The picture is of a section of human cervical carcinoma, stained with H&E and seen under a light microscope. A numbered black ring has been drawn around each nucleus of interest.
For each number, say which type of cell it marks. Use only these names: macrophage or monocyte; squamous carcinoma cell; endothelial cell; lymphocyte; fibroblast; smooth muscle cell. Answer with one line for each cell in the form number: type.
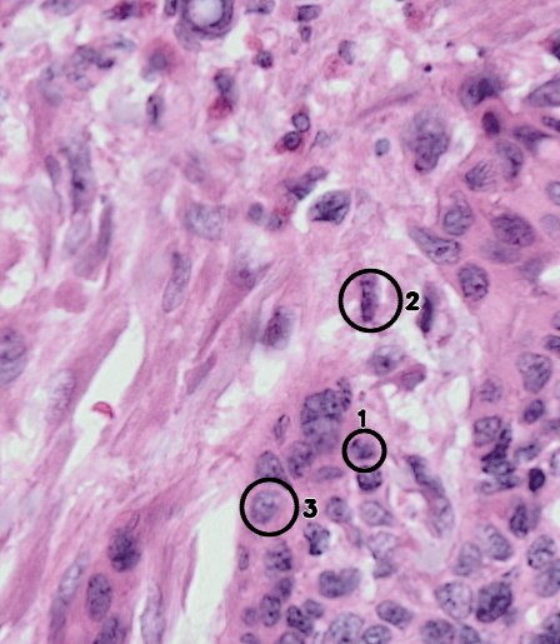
1: squamous carcinoma cell
2: macrophage or monocyte
3: squamous carcinoma cell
